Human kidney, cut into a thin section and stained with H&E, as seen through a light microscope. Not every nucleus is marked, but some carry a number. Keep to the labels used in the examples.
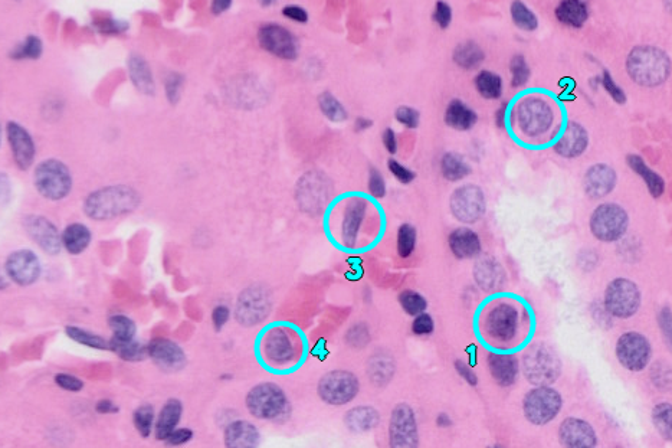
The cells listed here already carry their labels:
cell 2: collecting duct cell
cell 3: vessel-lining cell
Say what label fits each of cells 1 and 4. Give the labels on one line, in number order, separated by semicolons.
collecting duct cell; vessel-lining cell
